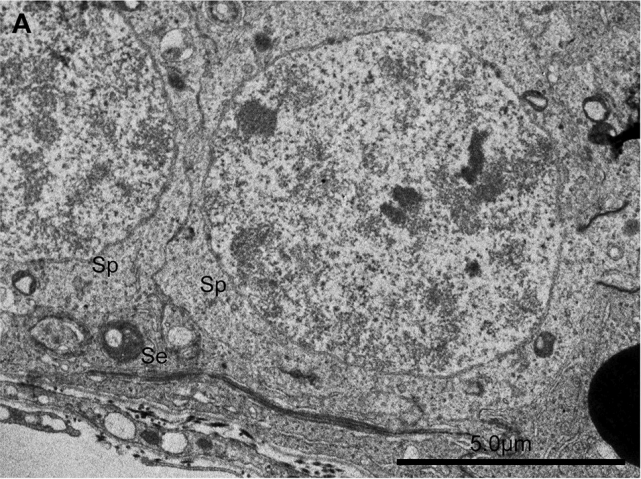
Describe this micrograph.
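This electron micrograph shows the seminiferous epithelium of the testis, with a sertoli cell lying at the base and spermatocytes above it. The spermatocytes are large cells with big round nuclei whose chromatin forms scattered dense clumps in a paler nucleoplasm. The sertoli cell cytoplasm forms a thin band along the base and contains mitochondria with visible internal membranes. Below the epithelium lies a layer of flattened, elongated cells and fibrous material forming the tubule wall. The cytoplasm appears compact, without many clear spaces.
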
